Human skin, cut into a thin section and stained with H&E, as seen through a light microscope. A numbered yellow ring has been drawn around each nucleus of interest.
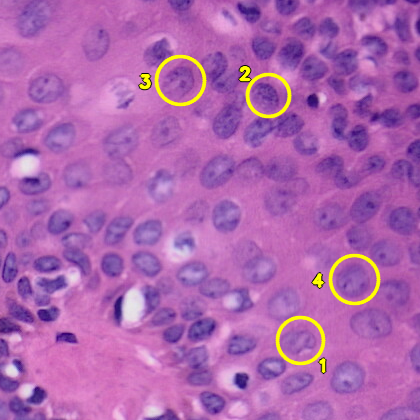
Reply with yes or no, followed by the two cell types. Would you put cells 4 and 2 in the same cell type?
No, cell 4 is a suprabasal keratinocyte and cell 2 is a basal keratinocyte.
